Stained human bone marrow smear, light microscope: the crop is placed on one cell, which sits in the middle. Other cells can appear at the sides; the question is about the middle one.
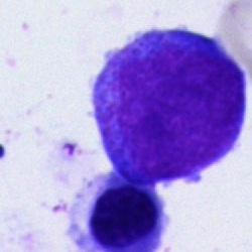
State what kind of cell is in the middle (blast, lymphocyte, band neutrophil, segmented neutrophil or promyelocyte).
blast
